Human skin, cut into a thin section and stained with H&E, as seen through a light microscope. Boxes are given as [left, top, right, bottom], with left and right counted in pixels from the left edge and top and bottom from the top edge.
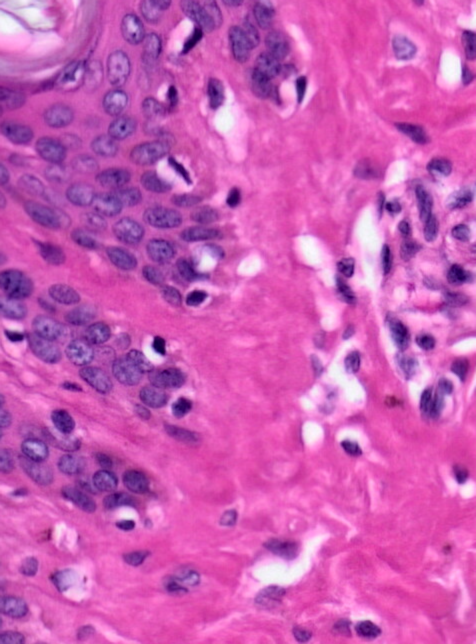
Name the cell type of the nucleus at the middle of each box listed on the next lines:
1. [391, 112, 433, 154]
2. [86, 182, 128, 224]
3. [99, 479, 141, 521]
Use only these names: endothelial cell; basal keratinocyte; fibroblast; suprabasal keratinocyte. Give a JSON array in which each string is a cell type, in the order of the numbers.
["fibroblast", "suprabasal keratinocyte", "basal keratinocyte"]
